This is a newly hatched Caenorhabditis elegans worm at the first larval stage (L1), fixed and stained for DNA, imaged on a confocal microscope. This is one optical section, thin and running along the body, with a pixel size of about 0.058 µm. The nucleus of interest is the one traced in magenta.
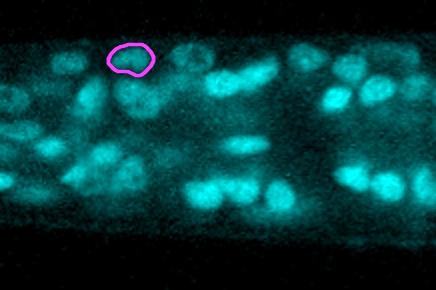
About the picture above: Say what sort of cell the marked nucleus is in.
hypodermal cell (hyp)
